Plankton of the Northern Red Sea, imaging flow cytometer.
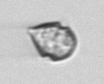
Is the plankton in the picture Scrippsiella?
Yes, it is Scrippsiella.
